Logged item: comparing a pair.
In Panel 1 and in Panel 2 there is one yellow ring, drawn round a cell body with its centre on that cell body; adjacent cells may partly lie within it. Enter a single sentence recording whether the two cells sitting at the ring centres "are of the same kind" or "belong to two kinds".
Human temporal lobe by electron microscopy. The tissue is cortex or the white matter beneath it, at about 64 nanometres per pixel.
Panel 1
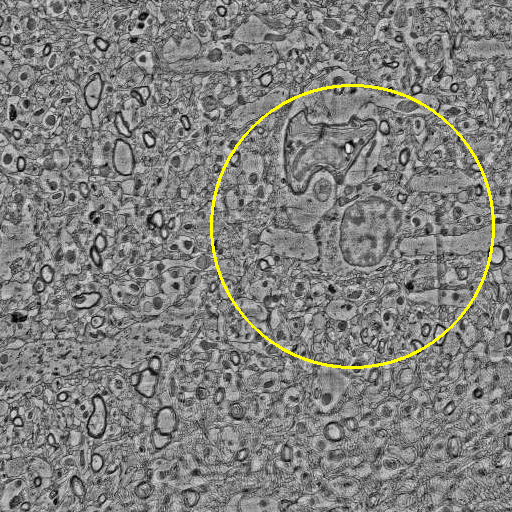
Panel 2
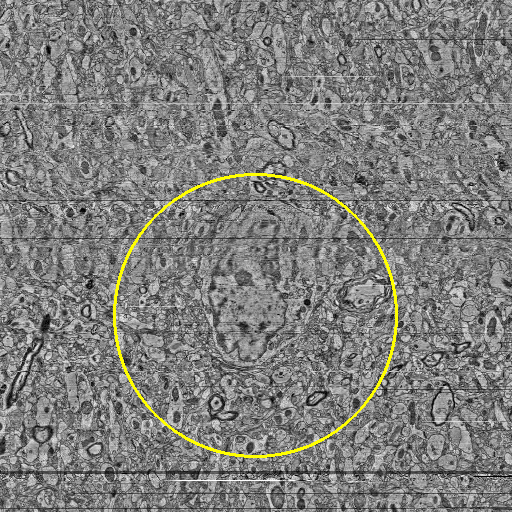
Logged: the cells centred in the rings of Panel 1 and Panel 2 belong to two kinds.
